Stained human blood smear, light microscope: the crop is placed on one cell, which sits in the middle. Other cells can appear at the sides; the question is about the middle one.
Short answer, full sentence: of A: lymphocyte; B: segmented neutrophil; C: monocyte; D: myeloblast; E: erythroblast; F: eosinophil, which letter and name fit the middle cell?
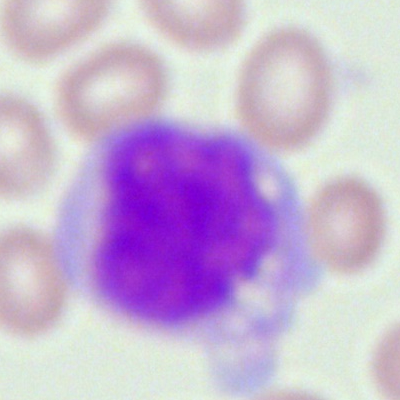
Option C is correct, and the cell in the centre is a monocyte.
